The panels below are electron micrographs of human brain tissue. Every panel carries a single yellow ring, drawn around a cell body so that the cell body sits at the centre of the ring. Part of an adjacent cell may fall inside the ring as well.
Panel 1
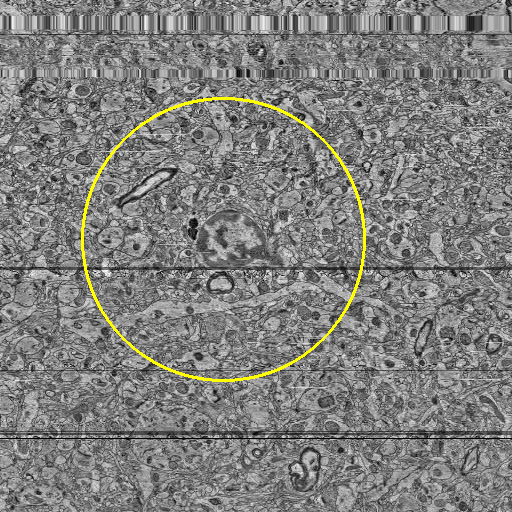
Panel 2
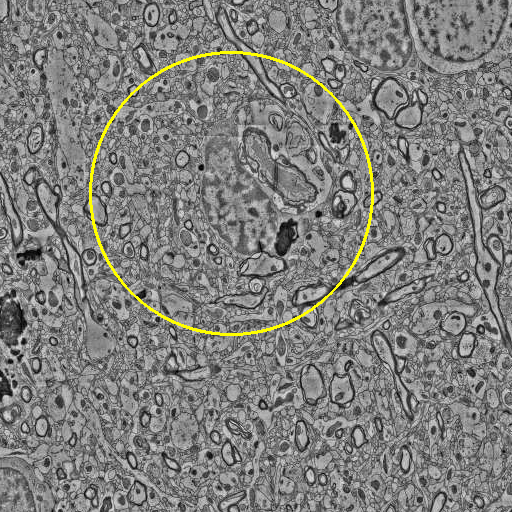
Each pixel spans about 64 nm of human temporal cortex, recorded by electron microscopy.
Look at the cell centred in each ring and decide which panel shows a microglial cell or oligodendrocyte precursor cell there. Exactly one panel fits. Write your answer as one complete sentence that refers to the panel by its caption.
Panel 1 has it at the centre of its ring.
